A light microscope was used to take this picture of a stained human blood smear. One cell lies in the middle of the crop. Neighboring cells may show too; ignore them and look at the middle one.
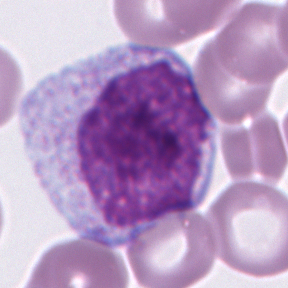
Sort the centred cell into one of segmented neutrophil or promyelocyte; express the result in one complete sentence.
Regarding the central cell, it is a promyelocyte.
